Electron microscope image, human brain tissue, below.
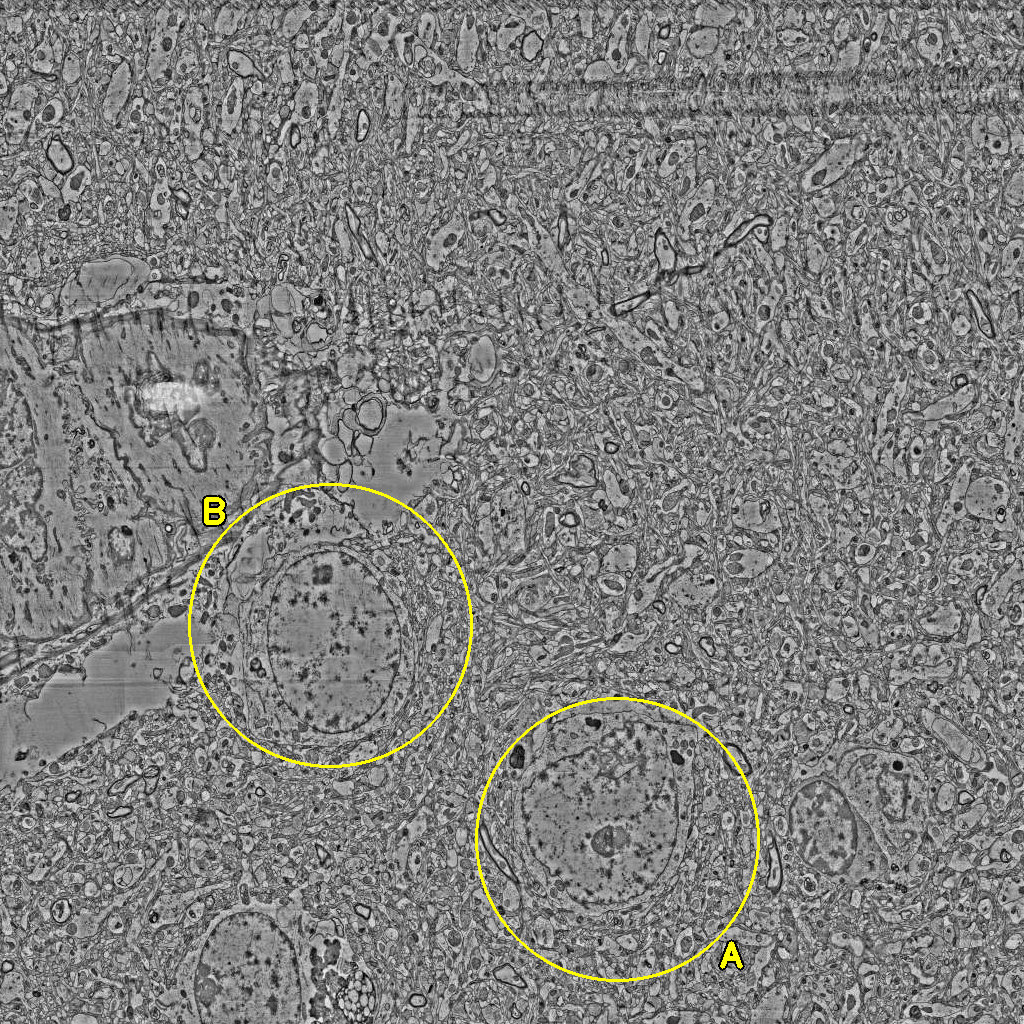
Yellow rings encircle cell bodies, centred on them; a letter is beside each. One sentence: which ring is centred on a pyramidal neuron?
It is ring B.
